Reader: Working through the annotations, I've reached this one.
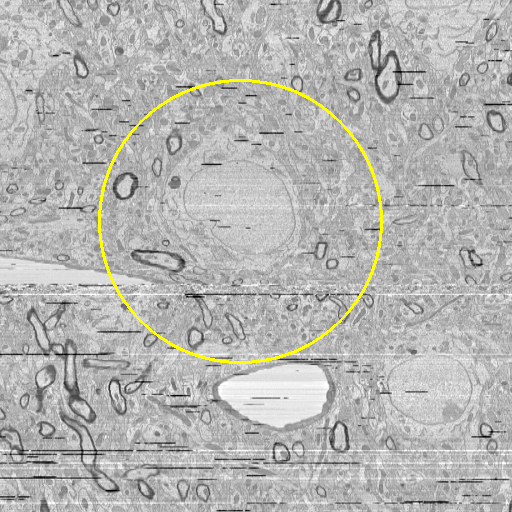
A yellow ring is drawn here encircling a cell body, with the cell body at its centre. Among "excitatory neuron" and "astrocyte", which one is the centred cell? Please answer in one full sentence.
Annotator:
The cell body at the centre of the yellow ring in this image belongs to an excitatory neuron.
